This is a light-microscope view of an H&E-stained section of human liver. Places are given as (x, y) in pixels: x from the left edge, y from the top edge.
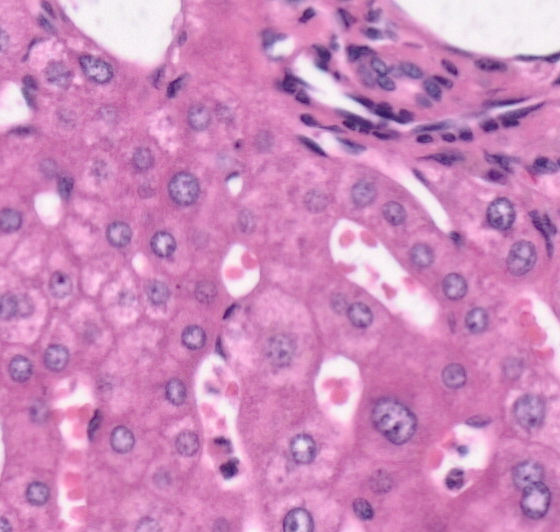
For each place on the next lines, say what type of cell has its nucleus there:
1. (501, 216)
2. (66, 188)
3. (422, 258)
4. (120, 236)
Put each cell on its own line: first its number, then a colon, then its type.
1: hepatocyte
2: fibroblast or stellate cell
3: hepatocyte
4: hepatocyte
